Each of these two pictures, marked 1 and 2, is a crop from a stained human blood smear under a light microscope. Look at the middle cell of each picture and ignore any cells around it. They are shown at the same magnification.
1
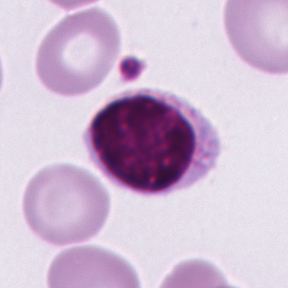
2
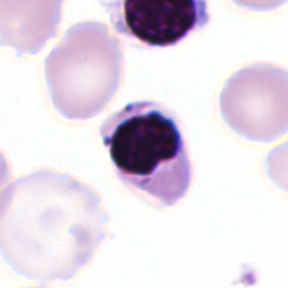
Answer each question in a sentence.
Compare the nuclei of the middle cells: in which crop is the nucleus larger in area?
Larger is the nucleus in crop 1, at roughly 2.5 times the area of the other.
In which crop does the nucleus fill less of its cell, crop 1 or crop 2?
Of the two, the nucleus in crop 2 leaves more room for cytoplasm.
